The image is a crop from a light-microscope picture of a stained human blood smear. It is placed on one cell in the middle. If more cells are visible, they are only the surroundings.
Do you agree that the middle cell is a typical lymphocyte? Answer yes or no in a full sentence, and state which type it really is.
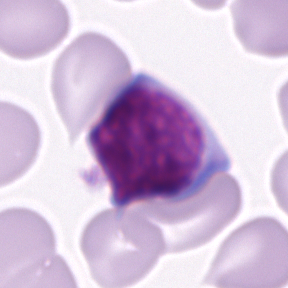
Yes, the cell located at the center is a typical lymphocyte.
